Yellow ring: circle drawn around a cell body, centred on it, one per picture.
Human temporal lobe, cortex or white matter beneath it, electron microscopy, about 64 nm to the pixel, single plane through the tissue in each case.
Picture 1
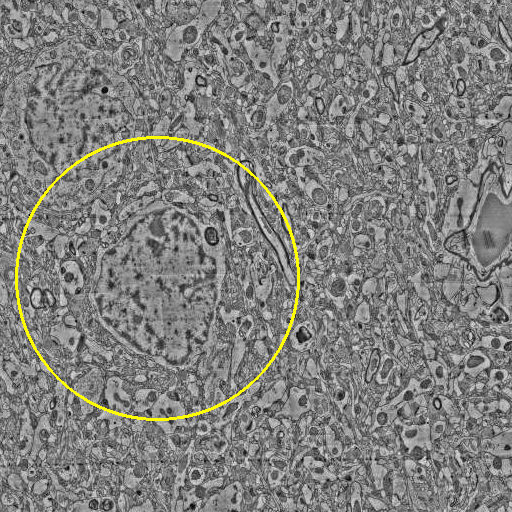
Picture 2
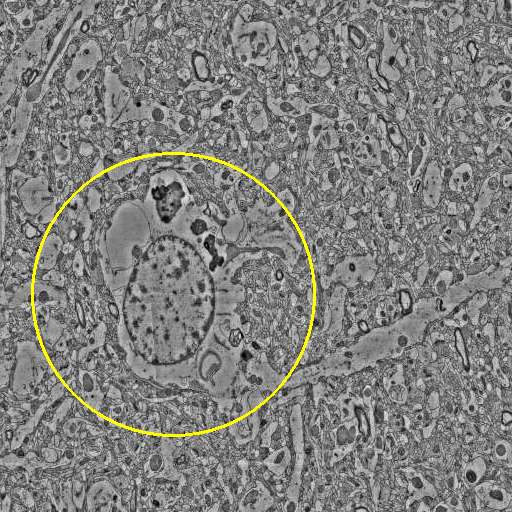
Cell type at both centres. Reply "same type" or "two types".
two types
